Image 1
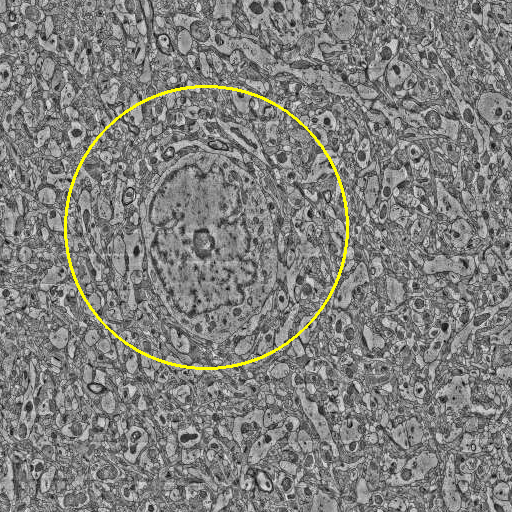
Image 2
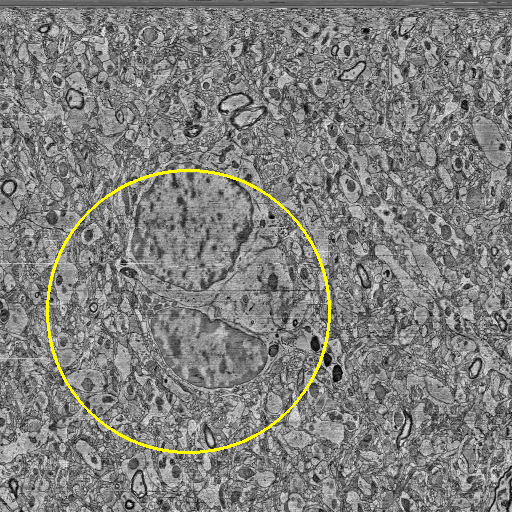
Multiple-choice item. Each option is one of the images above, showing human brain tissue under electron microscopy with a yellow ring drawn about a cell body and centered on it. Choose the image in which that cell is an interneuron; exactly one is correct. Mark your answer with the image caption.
Image 1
